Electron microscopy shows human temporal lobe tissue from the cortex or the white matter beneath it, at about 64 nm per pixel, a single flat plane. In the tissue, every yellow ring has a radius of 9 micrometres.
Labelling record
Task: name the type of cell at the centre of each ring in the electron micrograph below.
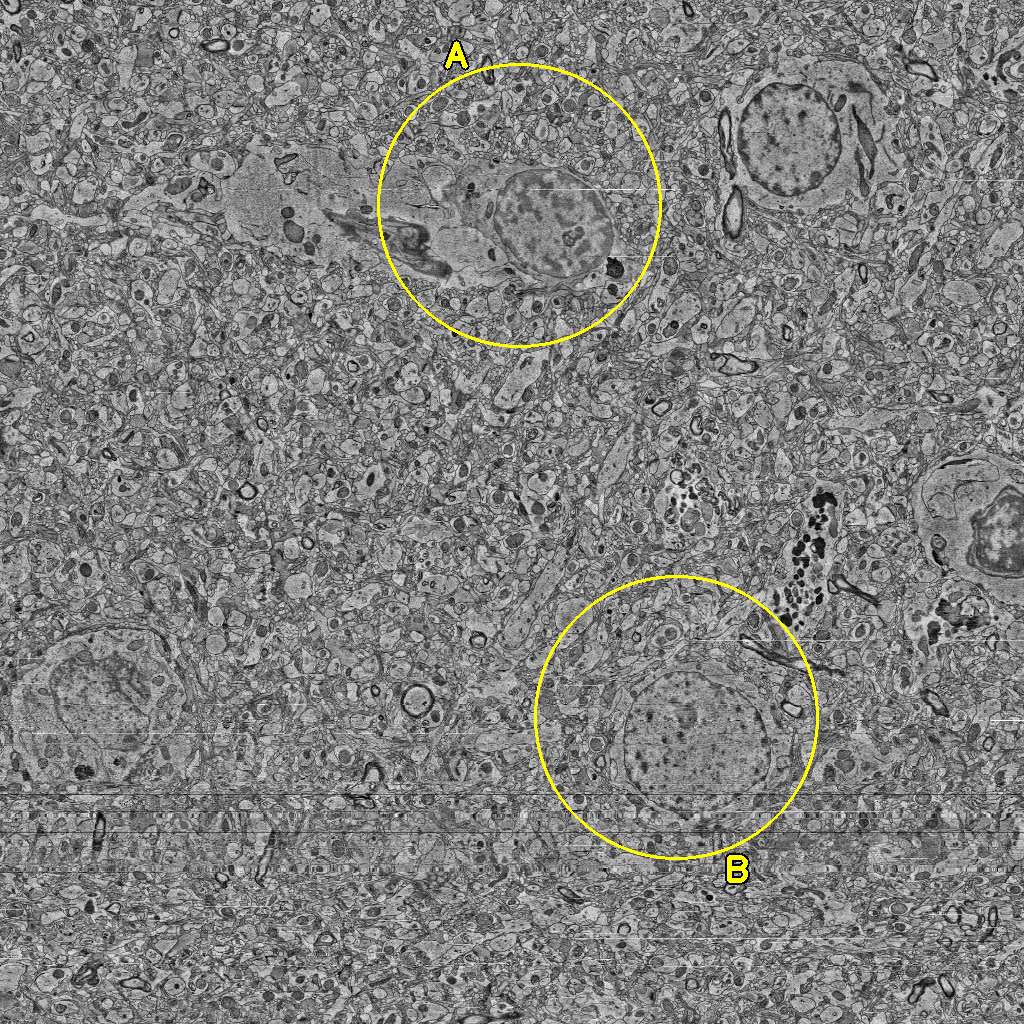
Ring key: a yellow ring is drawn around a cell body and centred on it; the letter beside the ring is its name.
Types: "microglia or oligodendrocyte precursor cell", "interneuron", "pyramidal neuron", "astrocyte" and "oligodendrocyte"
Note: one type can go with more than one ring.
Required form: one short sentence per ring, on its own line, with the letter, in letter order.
In ring A, the centred cell is an oligodendrocyte.
In ring B, the centred cell is an astrocyte.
